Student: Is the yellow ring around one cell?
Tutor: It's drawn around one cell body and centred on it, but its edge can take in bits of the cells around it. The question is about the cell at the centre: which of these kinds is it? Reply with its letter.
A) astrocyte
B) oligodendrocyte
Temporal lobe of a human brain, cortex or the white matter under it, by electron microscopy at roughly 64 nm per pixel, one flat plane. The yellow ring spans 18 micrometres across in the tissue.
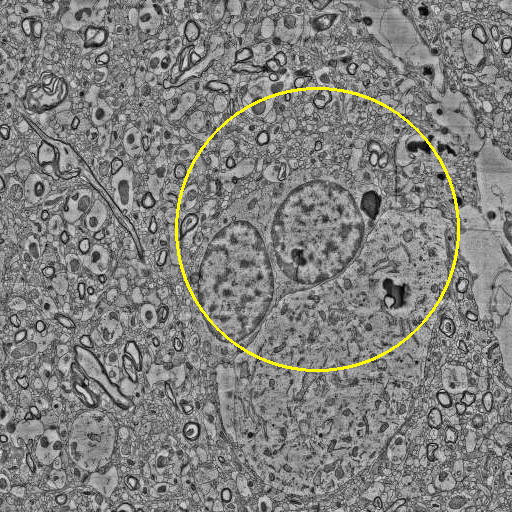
B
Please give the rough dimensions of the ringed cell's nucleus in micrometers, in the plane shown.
The ringed cell's nucleus is about 7 micrometres long and 6 micrometres wide in this plane.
